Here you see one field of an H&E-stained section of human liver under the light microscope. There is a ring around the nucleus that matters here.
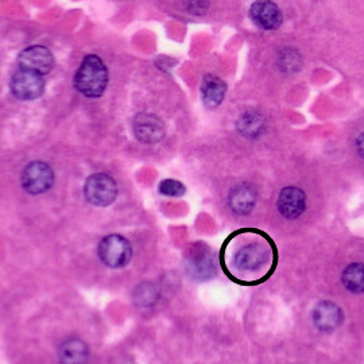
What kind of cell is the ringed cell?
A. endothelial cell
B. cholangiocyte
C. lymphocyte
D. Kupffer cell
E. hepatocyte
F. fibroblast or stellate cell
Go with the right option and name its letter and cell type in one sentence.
Settle on option D; the ringed cell is a Kupffer cell.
